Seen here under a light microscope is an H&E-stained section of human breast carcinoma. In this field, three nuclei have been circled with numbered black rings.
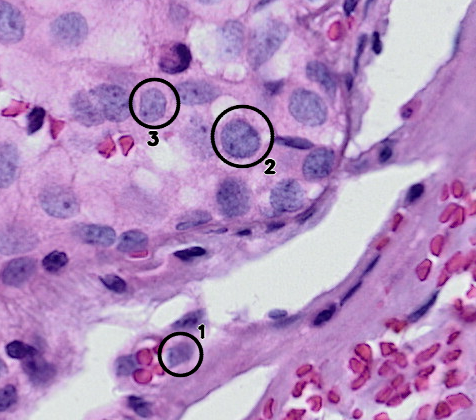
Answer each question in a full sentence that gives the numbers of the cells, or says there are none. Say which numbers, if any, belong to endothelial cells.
Where the numbered cells are concerned, only number 1 is an endothelial cell.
